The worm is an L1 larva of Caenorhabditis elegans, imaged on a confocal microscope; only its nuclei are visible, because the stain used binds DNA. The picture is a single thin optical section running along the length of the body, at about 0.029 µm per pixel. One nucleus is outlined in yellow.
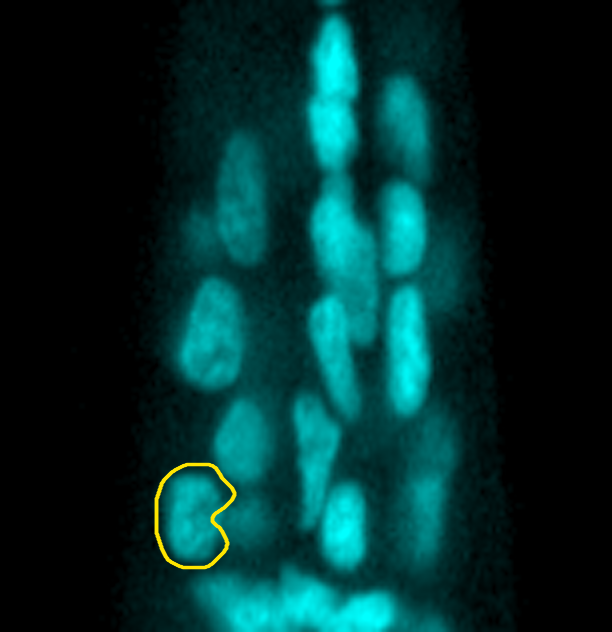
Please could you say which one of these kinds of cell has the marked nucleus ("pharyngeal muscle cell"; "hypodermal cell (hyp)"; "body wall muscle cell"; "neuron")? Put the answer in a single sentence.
It belongs to a body wall muscle cell.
